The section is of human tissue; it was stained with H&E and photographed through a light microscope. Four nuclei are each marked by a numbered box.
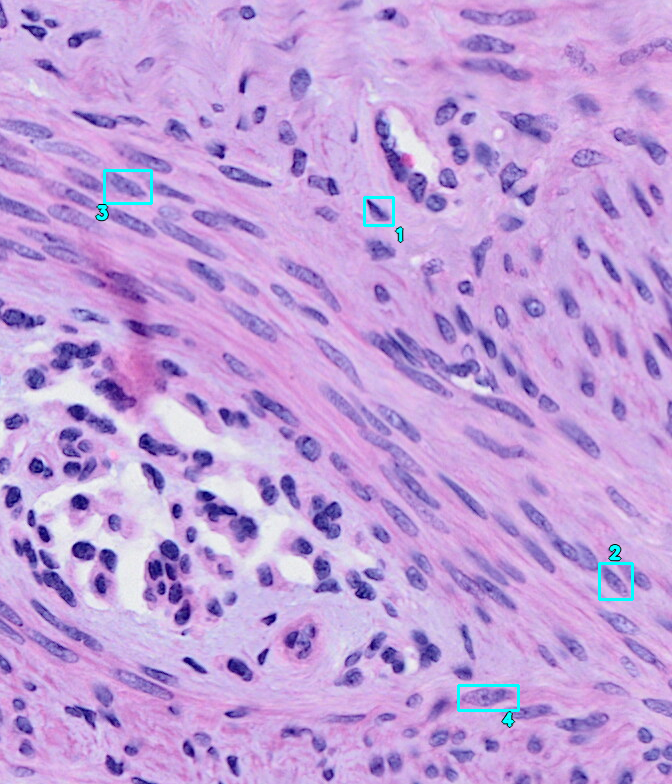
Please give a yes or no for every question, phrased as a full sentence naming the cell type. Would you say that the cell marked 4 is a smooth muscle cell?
Yes, and to answer plainly, cell 4 is a smooth muscle cell.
